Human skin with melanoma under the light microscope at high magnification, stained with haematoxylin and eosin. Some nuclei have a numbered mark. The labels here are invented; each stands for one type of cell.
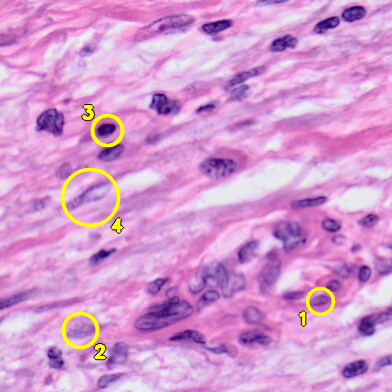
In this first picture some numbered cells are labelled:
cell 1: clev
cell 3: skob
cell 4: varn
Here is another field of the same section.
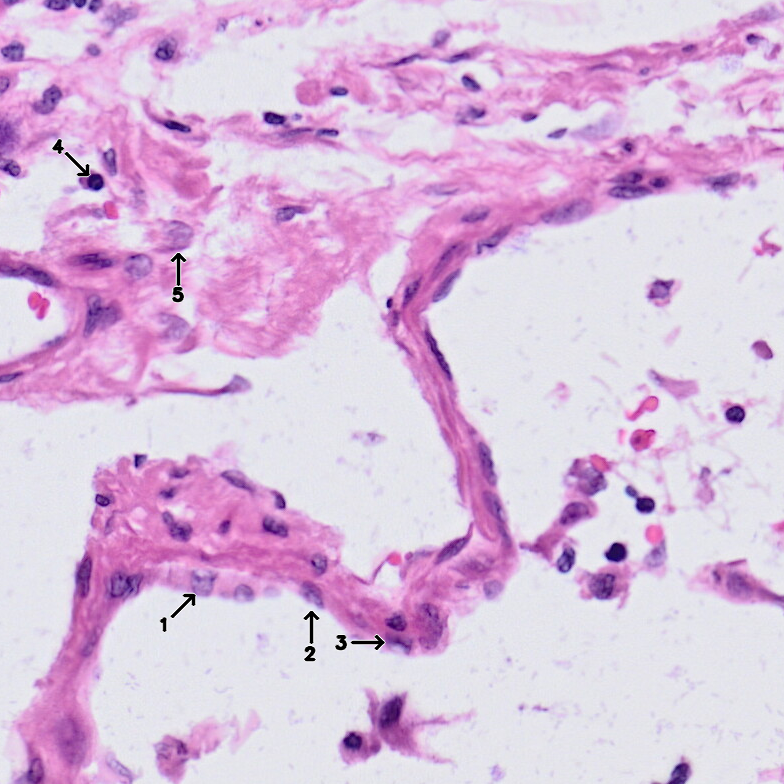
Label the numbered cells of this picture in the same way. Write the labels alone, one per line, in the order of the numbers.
clev
clev
clev
skob
varn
